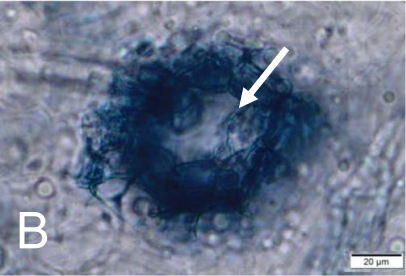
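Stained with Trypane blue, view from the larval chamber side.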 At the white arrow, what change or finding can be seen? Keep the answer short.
Crater.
